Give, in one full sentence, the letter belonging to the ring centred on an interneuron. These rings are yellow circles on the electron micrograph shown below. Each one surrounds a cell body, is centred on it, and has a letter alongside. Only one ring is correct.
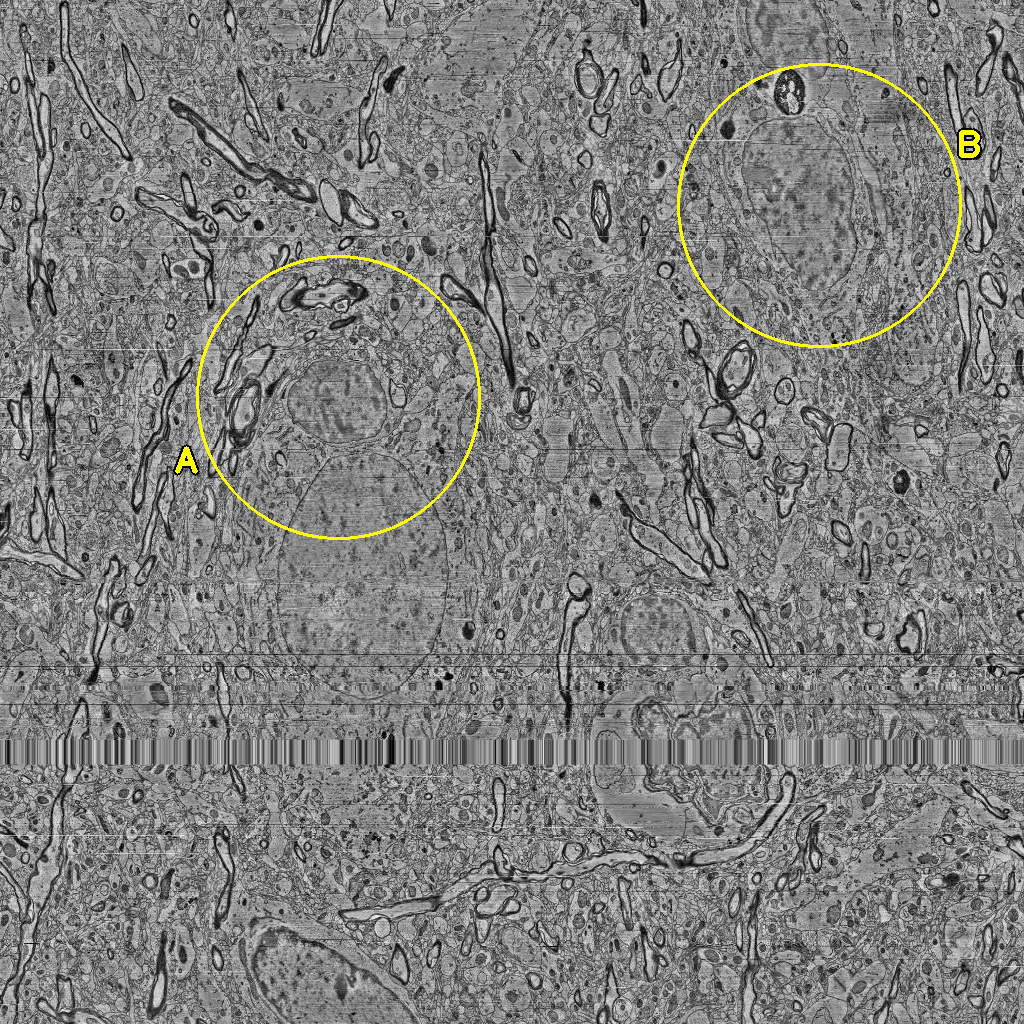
My answer is B, the ring centred on the cell asked for.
